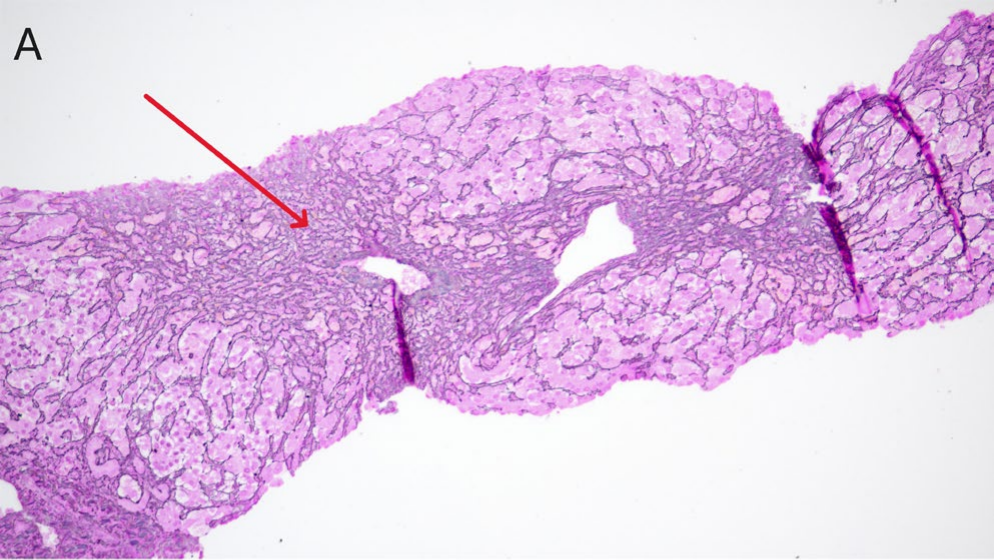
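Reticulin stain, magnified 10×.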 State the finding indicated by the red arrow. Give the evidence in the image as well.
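The arrow points to an area where the black reticulin fibres lie close together and condensed. Intact hepatocyte plates elsewhere are outlined by a wider-spaced reticulin network. The condensed area lies around a central vascular space. So: centrilobular parenchymatous collapse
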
